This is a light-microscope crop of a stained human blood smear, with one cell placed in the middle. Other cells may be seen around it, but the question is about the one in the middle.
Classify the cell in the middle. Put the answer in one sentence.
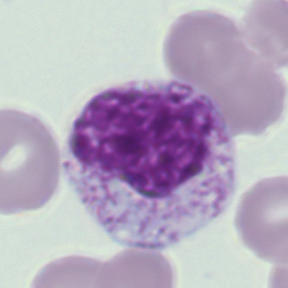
On this slide crop, the central cell is a metamyelocyte.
